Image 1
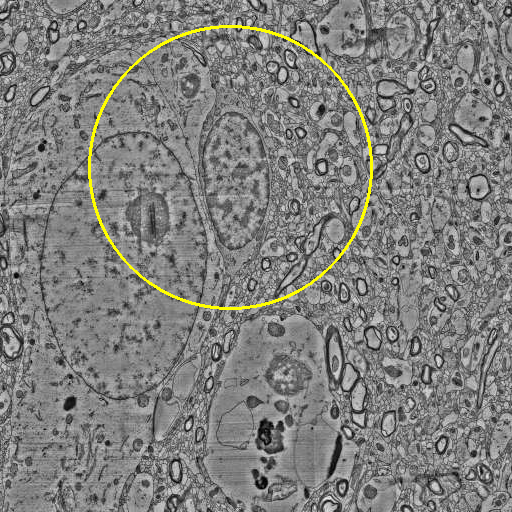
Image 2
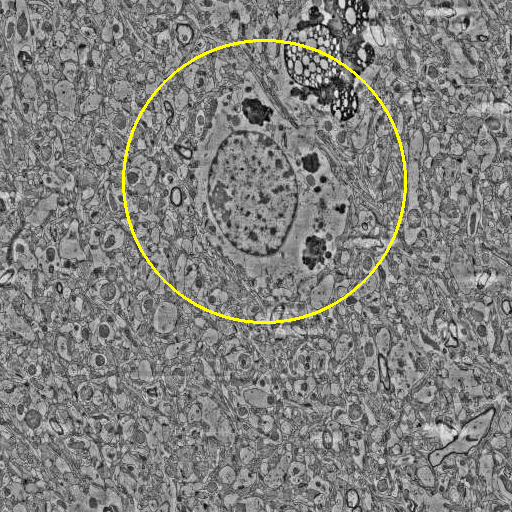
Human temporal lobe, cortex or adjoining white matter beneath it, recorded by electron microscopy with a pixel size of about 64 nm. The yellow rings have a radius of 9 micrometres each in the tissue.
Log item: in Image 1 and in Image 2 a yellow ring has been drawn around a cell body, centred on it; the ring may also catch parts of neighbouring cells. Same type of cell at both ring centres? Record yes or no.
no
